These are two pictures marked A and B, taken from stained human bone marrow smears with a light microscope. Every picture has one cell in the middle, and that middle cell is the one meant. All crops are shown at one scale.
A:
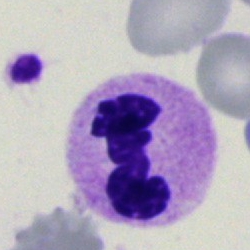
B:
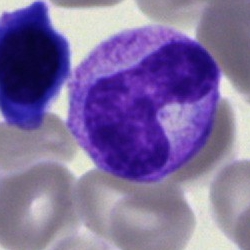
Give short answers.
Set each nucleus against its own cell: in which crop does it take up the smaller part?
A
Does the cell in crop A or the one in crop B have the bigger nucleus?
B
